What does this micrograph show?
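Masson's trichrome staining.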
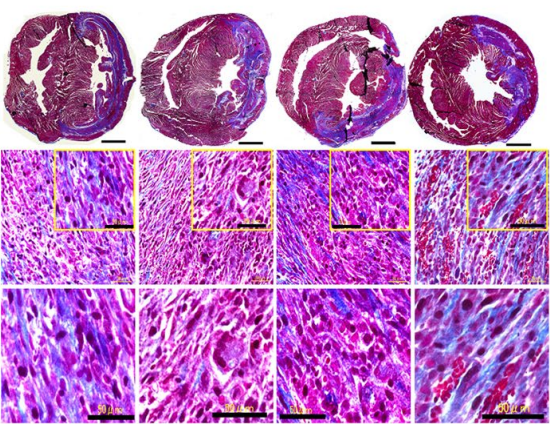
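These are transverse sections of heart with higher-power views of its muscular wall. At low power the wall and the trabeculated inner surface around the central cavity stain red to purple, with bluish areas within the wall. At higher power the muscle fibers are red to magenta, and blue-stained fibrous material lies between them in varying amounts. Many small dark nuclei are scattered among the fibers.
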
